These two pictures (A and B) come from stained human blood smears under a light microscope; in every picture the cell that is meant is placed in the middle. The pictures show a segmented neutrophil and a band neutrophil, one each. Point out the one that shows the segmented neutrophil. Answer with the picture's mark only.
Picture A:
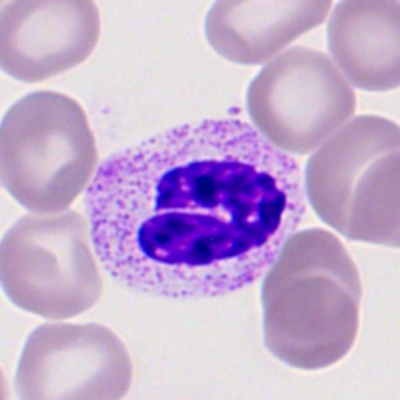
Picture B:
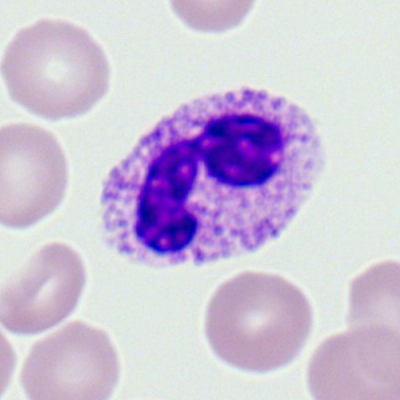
B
